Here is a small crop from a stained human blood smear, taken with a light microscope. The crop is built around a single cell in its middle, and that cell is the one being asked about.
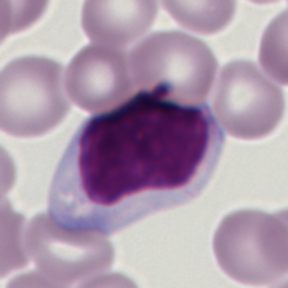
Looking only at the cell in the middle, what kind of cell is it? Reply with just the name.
large granular lymphocyte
